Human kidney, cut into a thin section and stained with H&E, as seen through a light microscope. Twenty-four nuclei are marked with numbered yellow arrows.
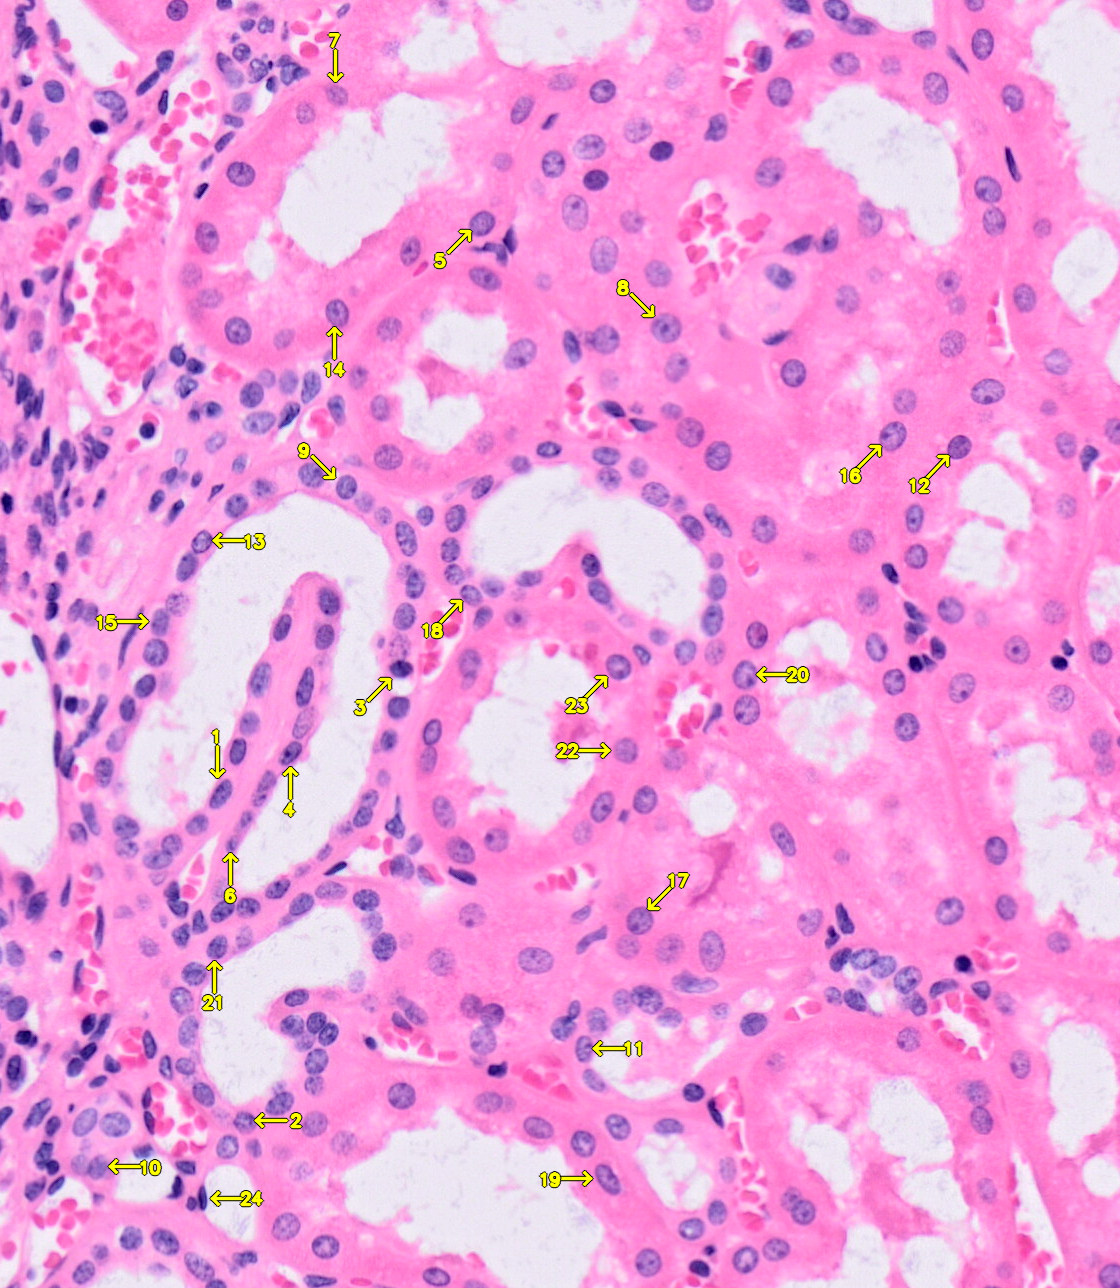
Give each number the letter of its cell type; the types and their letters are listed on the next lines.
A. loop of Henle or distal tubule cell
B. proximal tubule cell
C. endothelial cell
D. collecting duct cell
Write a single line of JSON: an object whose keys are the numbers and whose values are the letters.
{"1": "D", "2": "D", "3": "D", "4": "D", "5": "B", "6": "D", "7": "B", "8": "B", "9": "D", "10": "D", "11": "D", "12": "B", "13": "D", "14": "B", "15": "D", "16": "B", "17": "B", "18": "D", "19": "B", "20": "B", "21": "D", "22": "B", "23": "B", "24": "C"}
